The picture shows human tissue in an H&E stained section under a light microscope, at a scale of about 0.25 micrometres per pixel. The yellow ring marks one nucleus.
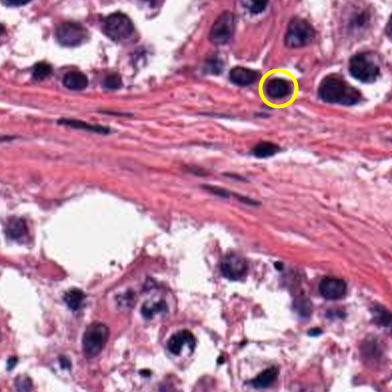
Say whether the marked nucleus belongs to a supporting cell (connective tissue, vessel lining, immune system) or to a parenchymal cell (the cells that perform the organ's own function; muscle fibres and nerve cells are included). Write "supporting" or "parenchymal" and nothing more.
parenchymal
